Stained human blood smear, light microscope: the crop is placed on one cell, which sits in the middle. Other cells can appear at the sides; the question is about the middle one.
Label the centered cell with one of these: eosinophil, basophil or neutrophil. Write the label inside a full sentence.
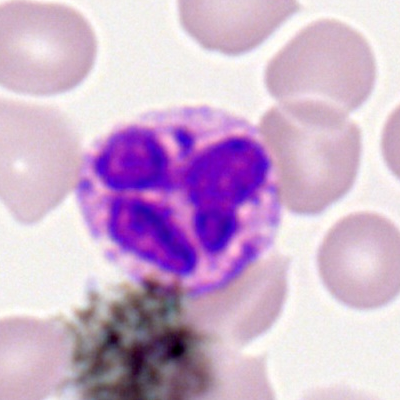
The cell that lies at the centre of the crop is a basophil.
